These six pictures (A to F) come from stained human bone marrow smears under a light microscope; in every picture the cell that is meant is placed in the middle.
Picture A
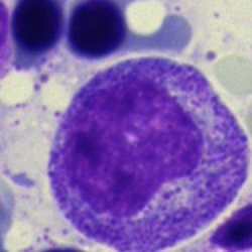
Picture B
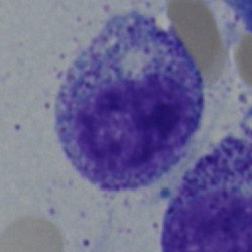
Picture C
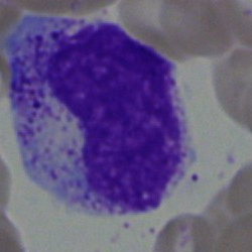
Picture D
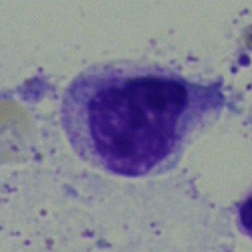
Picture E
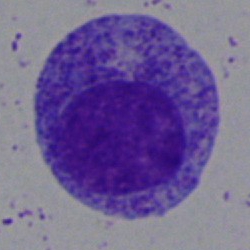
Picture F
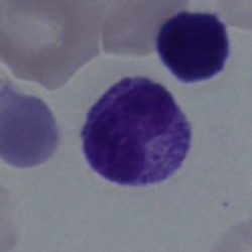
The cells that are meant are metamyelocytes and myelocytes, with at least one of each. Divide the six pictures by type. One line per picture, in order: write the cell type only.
myelocyte
myelocyte
metamyelocyte
myelocyte
myelocyte
metamyelocyte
